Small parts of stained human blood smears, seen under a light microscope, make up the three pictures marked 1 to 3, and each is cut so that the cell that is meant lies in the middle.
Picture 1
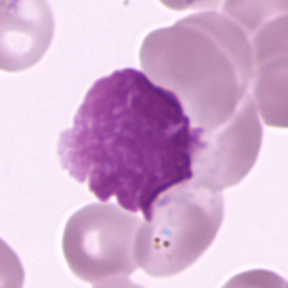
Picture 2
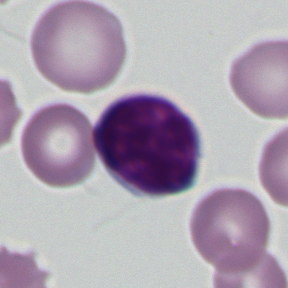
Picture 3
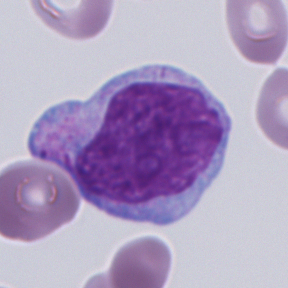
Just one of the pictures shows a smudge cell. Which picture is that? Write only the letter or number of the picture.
1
